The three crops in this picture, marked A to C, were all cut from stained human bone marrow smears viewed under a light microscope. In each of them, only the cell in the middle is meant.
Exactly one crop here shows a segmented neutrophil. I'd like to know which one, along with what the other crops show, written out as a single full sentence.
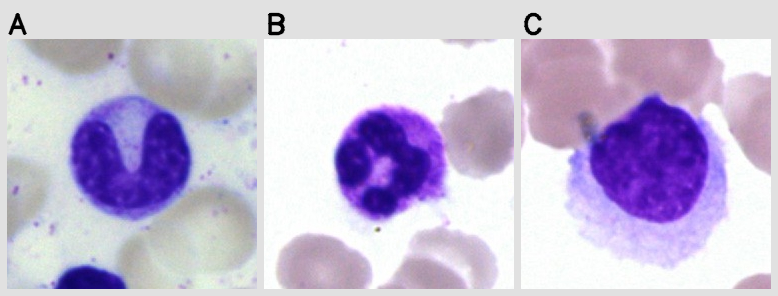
Crop B shows a segmented neutrophil in its middle, while crop A is a band neutrophil and crop C is a hairy cell.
